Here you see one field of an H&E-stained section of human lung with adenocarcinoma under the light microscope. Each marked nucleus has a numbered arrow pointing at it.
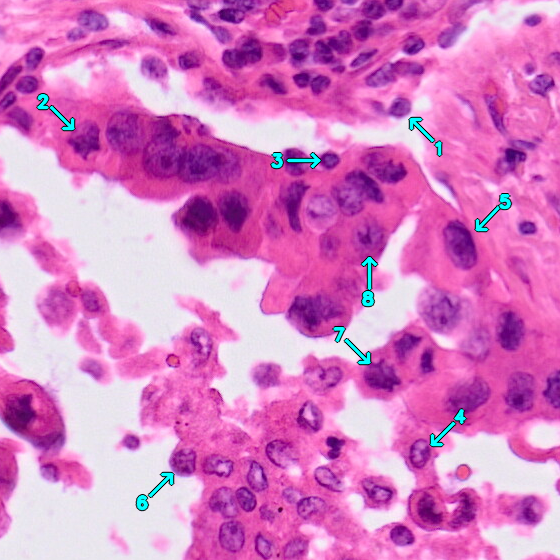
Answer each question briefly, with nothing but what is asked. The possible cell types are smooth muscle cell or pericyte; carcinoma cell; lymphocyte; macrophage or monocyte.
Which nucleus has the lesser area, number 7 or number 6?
6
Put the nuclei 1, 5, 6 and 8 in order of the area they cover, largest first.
5, 8, 6, 1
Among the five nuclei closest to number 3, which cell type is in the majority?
carcinoma cell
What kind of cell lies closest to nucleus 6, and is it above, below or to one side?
a macrophage or monocyte, to the right of nucleus 6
